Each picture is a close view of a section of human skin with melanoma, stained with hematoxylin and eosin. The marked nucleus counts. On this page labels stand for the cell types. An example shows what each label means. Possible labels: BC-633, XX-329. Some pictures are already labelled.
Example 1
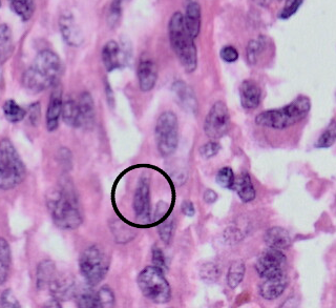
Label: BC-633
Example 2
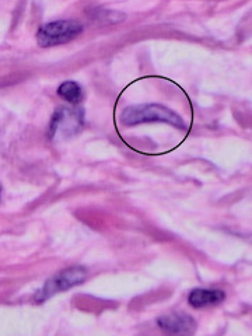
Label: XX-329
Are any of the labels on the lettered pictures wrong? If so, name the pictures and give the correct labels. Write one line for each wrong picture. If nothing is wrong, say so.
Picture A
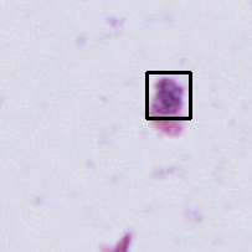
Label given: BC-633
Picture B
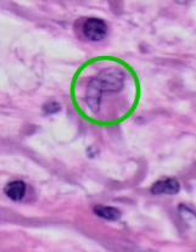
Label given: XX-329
No label is wrong.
